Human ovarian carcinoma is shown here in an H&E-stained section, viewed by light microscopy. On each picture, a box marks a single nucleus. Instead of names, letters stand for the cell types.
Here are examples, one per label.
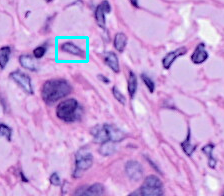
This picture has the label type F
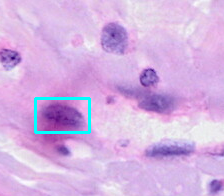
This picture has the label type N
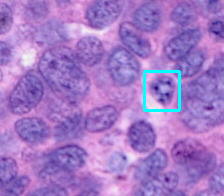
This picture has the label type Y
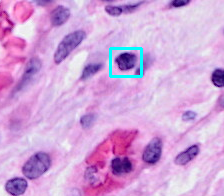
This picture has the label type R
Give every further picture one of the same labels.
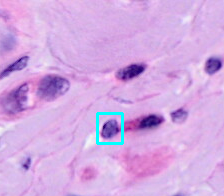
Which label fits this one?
type R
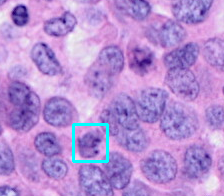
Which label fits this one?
type Y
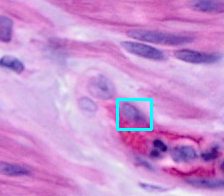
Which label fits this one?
type N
